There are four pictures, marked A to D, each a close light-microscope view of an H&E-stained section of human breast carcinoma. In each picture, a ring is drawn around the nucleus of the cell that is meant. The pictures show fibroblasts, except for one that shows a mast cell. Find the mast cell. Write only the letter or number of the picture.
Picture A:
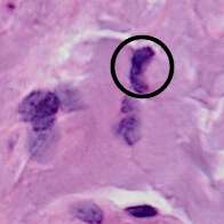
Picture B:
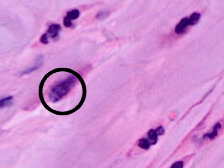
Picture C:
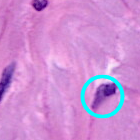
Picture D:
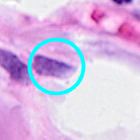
B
